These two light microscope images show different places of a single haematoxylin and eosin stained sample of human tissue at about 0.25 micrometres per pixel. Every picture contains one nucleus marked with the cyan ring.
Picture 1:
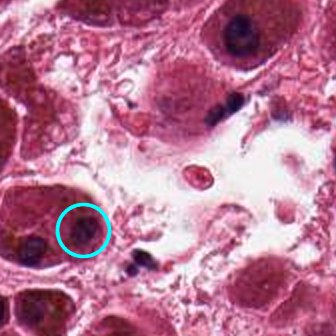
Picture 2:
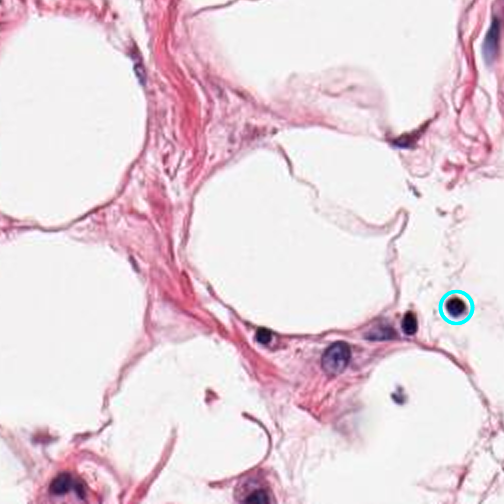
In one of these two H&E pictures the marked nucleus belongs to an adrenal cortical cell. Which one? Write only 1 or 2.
1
